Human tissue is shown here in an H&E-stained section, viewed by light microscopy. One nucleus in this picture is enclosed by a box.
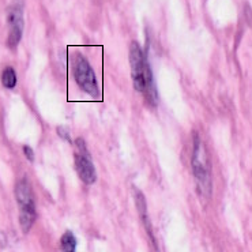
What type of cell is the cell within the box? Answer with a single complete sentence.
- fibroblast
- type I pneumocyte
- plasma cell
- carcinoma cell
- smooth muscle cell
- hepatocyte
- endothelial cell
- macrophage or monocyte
To be brief about it, the cell within the box is a macrophage or monocyte.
